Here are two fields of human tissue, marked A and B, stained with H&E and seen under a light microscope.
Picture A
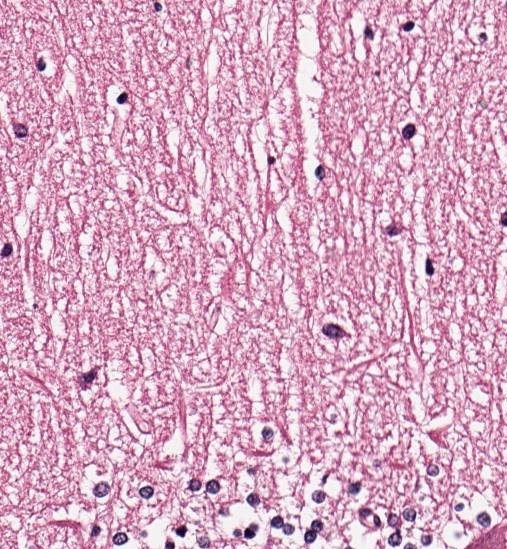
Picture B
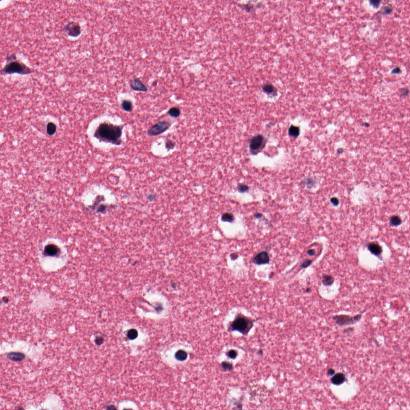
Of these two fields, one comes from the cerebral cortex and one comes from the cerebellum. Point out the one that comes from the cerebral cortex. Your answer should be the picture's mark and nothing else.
B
